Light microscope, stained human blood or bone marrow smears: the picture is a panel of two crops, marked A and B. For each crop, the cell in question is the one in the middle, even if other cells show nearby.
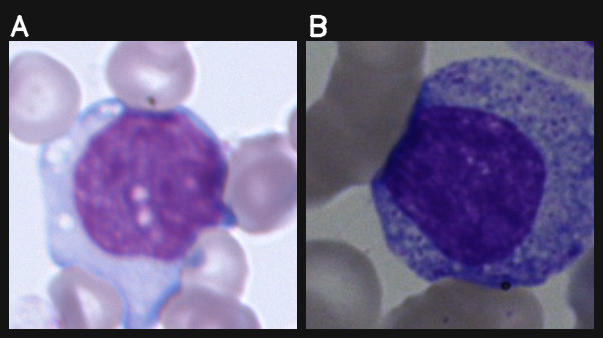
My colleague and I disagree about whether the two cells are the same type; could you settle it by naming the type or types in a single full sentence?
No, that is not right; crop A shows a blast and crop B shows a promyelocyte.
